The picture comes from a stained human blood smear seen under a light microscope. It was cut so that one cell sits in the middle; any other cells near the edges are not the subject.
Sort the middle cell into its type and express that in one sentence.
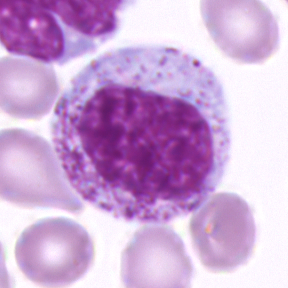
Where the crop is centred, there is a myelocyte.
